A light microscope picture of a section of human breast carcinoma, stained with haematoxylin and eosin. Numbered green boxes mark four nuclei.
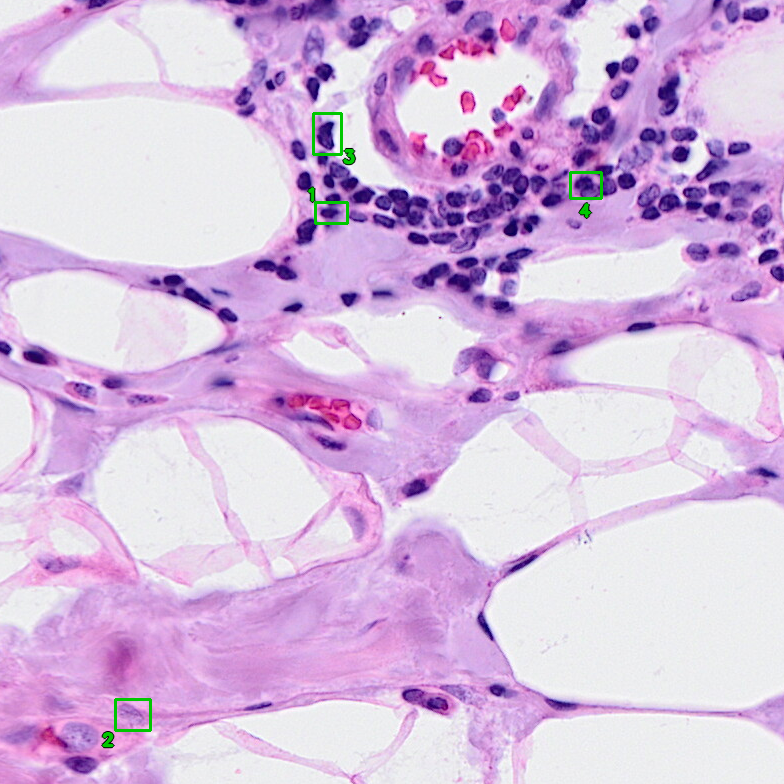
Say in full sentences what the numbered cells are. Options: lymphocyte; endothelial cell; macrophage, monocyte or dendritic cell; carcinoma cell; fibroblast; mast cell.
Cells 1, 3 and 4 are lymphocytes. Cell 2 is a fibroblast.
